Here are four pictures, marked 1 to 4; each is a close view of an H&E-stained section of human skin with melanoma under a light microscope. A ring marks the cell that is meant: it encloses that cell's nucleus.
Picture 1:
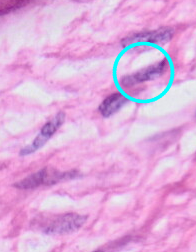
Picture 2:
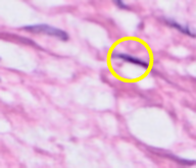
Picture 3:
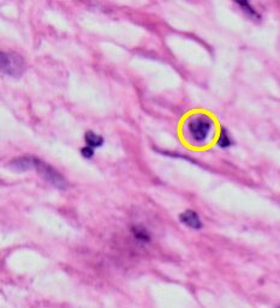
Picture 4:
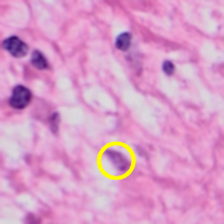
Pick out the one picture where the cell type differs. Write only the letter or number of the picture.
3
